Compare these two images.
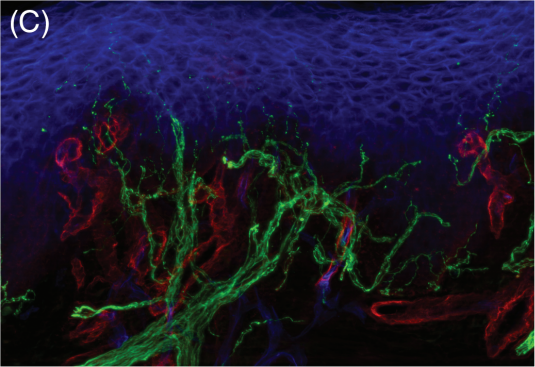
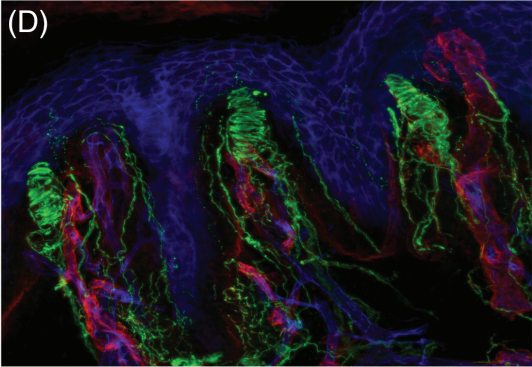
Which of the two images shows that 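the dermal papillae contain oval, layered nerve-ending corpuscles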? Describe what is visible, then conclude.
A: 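First image: green fibres run in the papillary dermis but no oval layered green bodies are seen at the papilla tips. Second image: several oval, densely layered green bodies sit at the tops of dermal papillae.
Hence: the second image.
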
